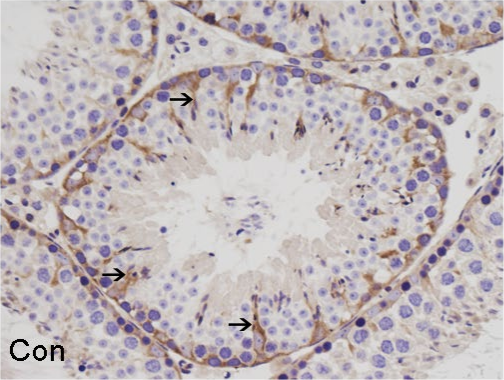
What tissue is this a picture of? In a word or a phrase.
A: testis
